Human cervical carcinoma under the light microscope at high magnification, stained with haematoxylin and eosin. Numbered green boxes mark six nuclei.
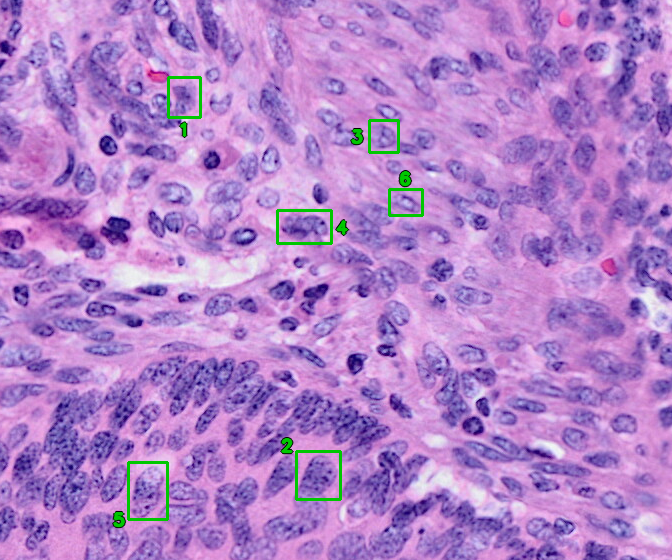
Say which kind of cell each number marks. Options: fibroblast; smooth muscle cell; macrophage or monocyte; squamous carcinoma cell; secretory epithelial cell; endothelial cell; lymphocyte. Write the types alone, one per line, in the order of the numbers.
endothelial cell
squamous carcinoma cell
smooth muscle cell
endothelial cell
squamous carcinoma cell
smooth muscle cell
